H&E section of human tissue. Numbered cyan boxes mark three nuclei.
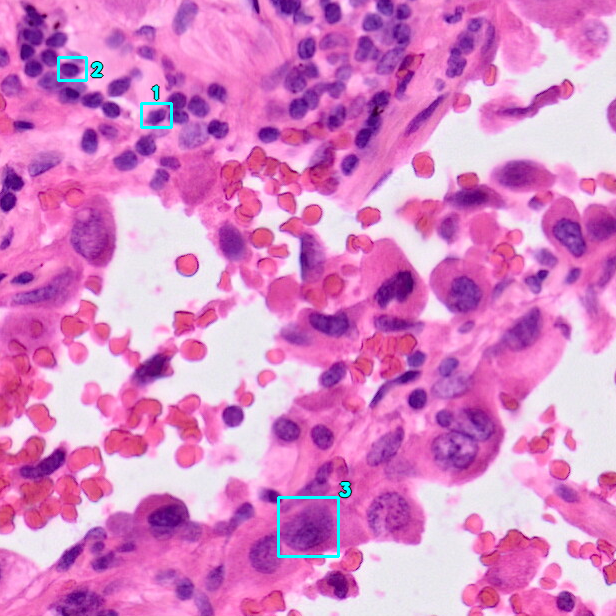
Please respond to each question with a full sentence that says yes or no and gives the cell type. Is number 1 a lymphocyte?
Yes, the cell that is numbered 1 is a lymphocyte.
